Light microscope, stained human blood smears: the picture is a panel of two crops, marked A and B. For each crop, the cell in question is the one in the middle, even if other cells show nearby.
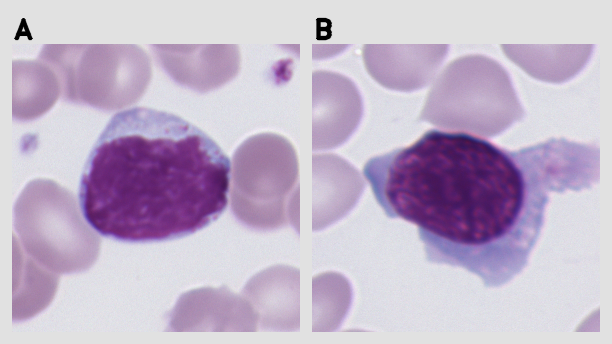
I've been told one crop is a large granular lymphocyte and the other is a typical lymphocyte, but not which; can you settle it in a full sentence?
Crop A represents a large granular lymphocyte, while crop B represents a typical lymphocyte.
